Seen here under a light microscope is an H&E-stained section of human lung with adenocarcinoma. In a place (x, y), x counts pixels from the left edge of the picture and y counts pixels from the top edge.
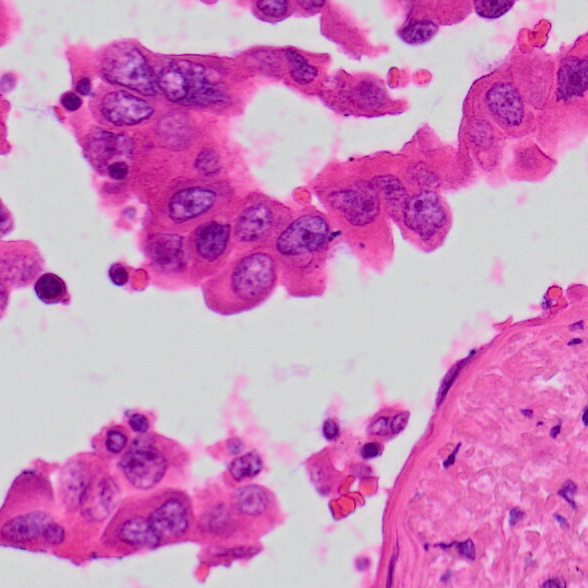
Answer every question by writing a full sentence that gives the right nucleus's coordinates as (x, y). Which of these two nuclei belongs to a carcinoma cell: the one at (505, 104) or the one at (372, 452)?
The nucleus located at (505, 104) is the one held within a carcinoma cell.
